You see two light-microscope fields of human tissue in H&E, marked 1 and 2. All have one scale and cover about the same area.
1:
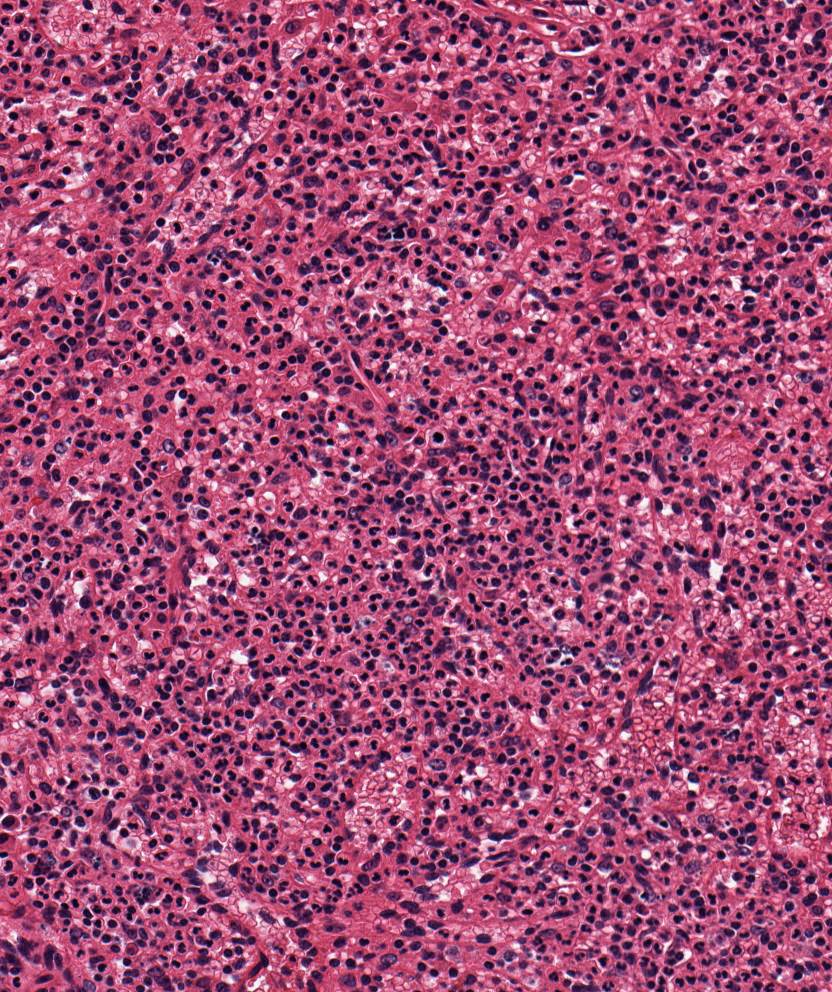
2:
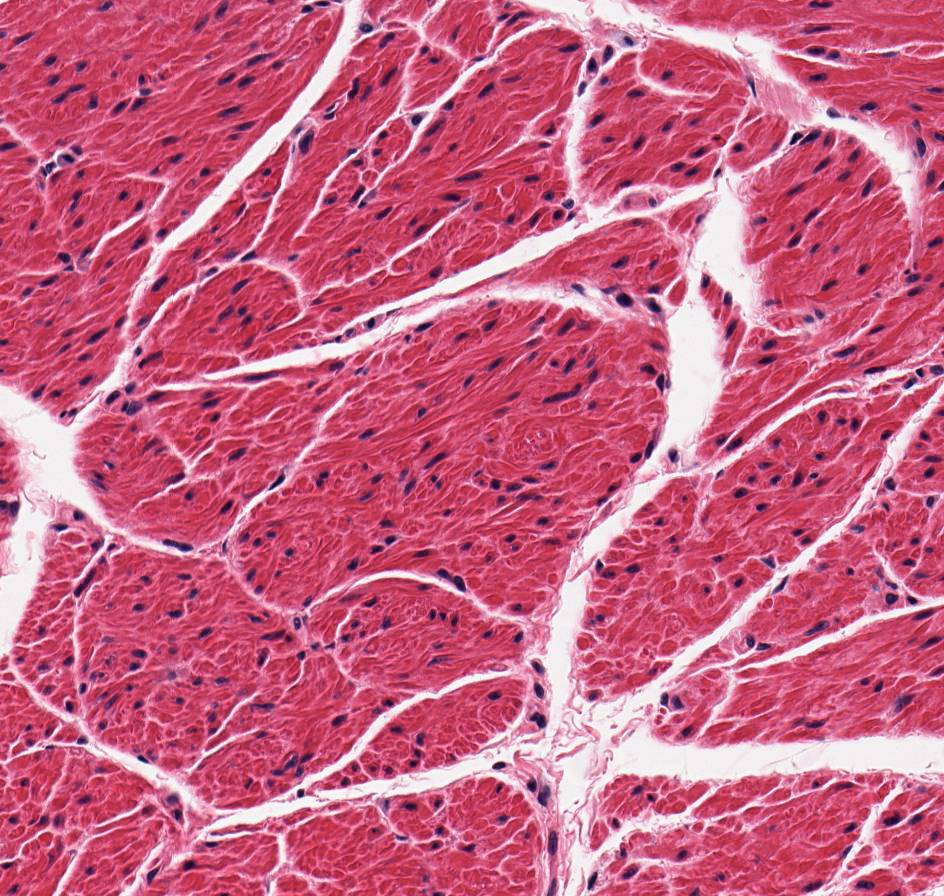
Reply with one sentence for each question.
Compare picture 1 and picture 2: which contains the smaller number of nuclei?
The smaller number of nuclei is in picture 2.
